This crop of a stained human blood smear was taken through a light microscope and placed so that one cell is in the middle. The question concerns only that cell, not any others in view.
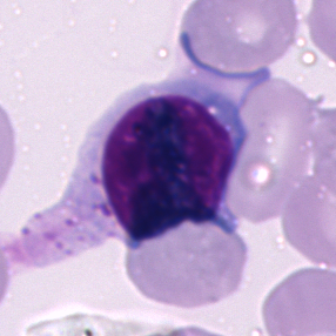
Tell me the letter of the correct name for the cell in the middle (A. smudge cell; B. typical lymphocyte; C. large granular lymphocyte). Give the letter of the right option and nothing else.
C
